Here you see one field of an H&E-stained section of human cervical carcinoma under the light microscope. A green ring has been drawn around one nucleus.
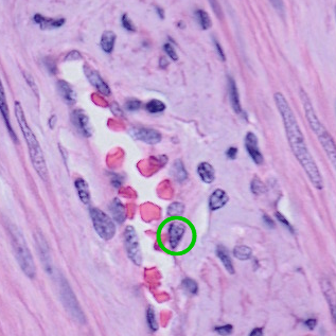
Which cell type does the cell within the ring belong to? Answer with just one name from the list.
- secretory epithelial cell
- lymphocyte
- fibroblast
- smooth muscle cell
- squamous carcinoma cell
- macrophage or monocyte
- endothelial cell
endothelial cell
